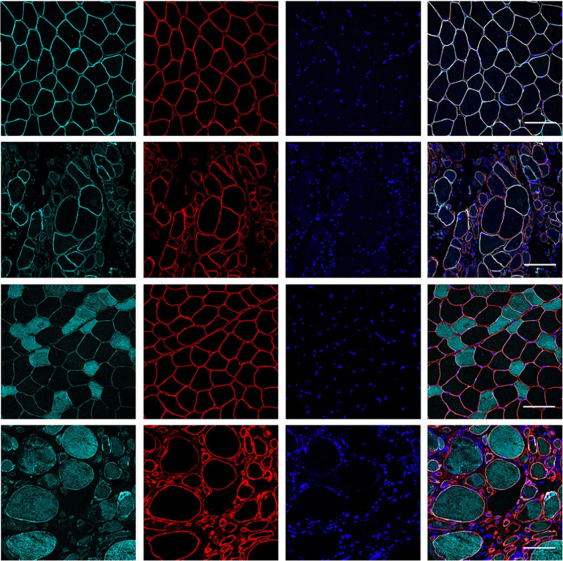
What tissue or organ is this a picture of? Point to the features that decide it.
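Skeletal muscle. Polygonal fibres cut in cross section, packed side by side. Blue nuclei at the fibre edges.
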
